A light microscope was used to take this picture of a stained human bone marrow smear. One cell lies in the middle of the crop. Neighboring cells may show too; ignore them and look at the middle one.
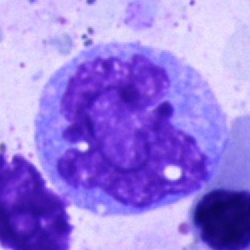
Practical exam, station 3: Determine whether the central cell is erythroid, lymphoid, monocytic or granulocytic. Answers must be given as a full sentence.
Assigned to the monocytic lineage is the cell at the center.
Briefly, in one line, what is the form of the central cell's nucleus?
Nuclear material here is separated into two or more segments.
